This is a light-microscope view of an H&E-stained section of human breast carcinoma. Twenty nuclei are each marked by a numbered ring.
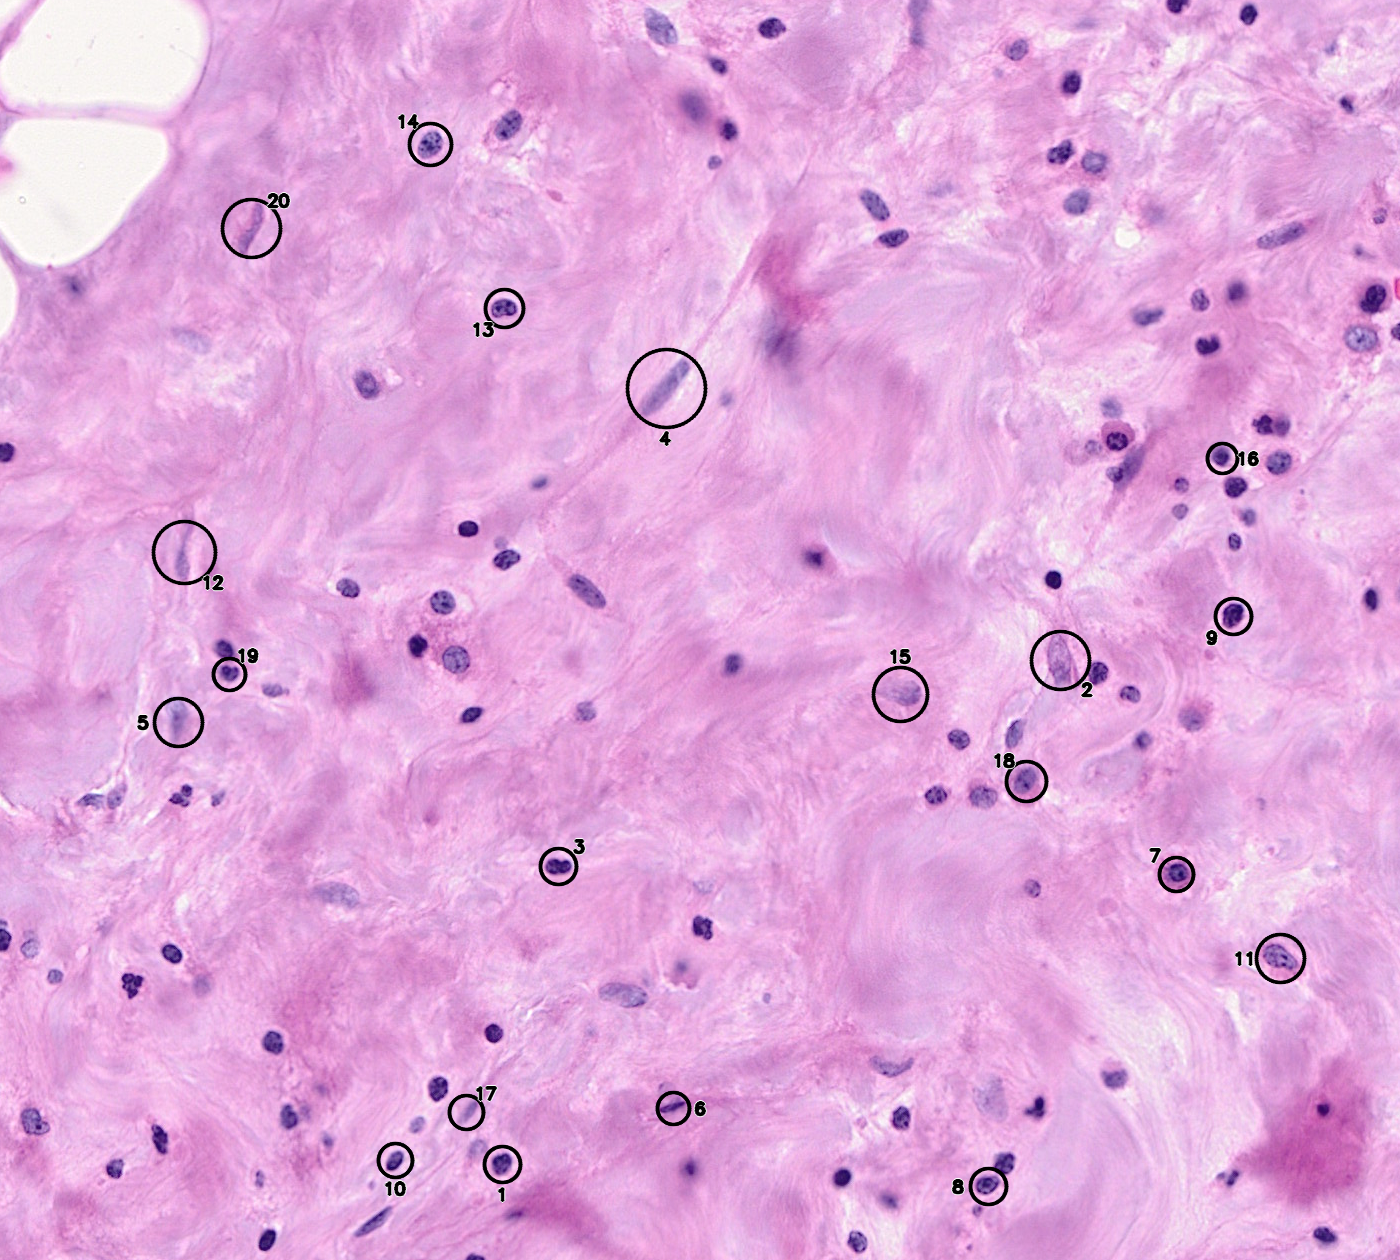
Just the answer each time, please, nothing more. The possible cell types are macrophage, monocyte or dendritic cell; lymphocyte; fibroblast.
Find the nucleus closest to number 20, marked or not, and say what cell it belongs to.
fibroblast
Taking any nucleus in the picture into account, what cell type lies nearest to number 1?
macrophage, monocyte or dendritic cell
